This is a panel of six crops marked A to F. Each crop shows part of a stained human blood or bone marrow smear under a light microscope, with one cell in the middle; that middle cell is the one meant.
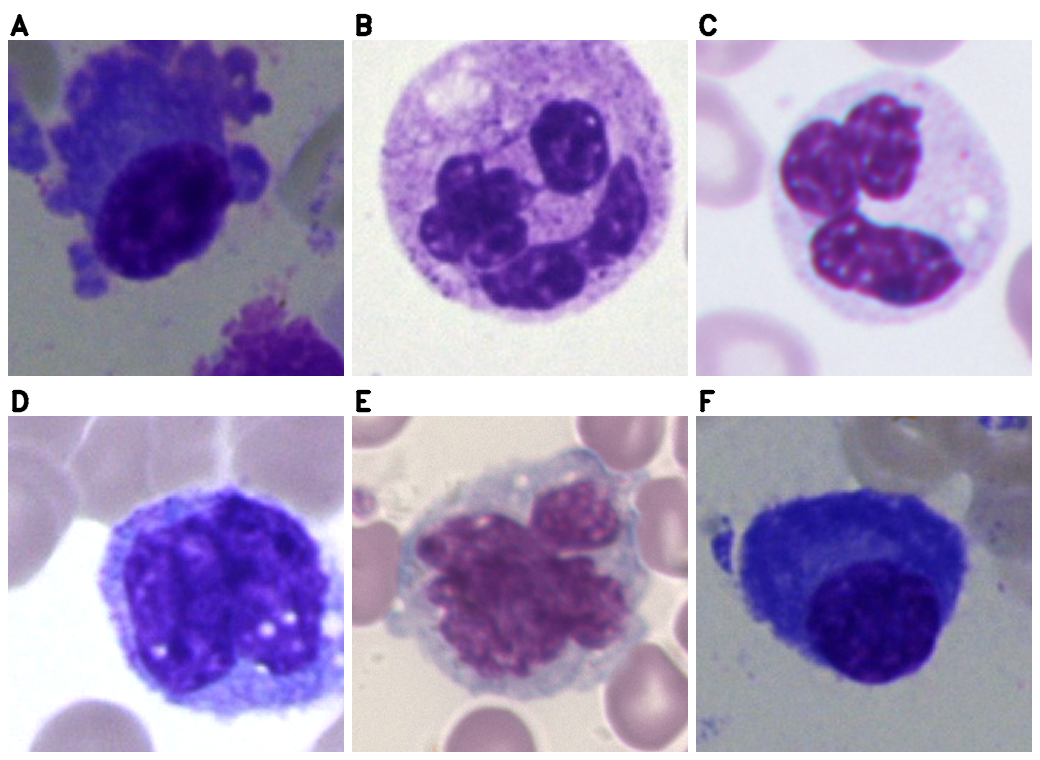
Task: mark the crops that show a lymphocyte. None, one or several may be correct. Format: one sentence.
There is no crop here that shows a lymphocyte.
